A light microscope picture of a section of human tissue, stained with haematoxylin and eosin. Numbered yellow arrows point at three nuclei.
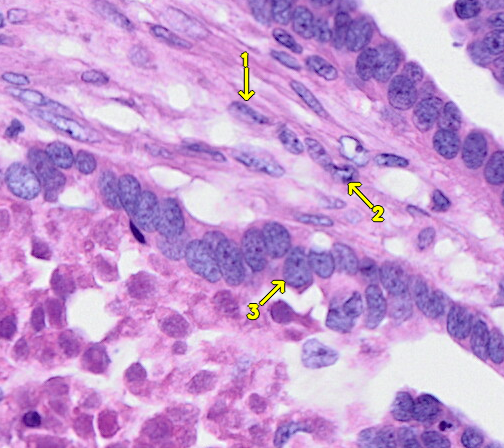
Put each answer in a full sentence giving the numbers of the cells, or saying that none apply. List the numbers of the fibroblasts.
The cells carrying labels 1 and 2 are fibroblasts.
